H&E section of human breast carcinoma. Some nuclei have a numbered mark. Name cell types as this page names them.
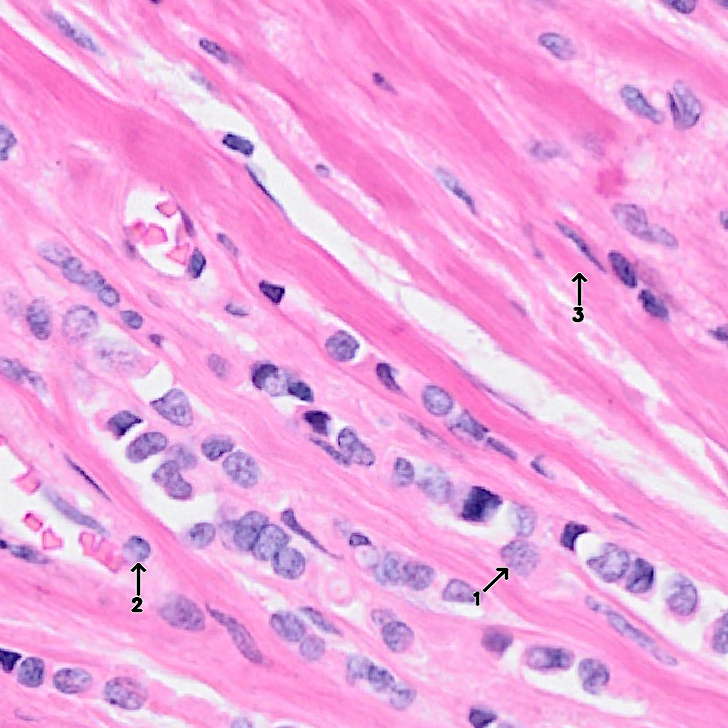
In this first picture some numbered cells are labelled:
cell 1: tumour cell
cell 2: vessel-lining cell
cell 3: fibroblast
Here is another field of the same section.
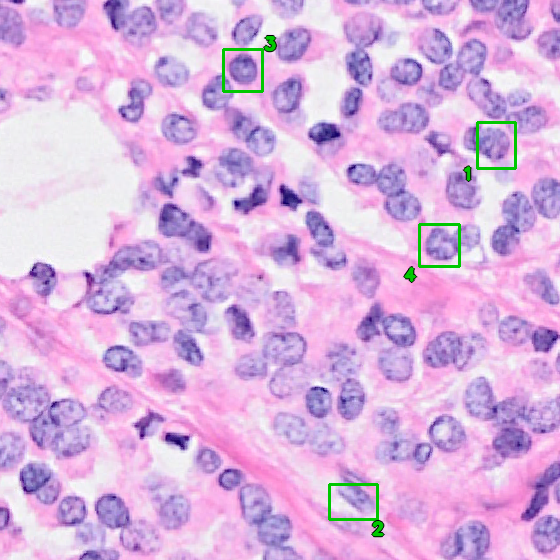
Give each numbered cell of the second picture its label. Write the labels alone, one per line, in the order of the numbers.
tumour cell
vessel-lining cell
tumour cell
tumour cell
